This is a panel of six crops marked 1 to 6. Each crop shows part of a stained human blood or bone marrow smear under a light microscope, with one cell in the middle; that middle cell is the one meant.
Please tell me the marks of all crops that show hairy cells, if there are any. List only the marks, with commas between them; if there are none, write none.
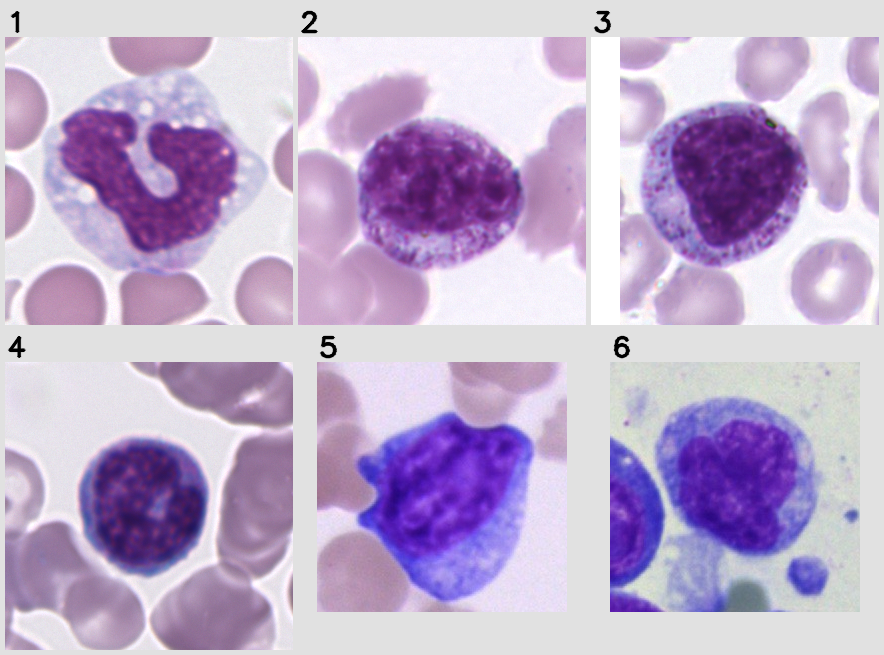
none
